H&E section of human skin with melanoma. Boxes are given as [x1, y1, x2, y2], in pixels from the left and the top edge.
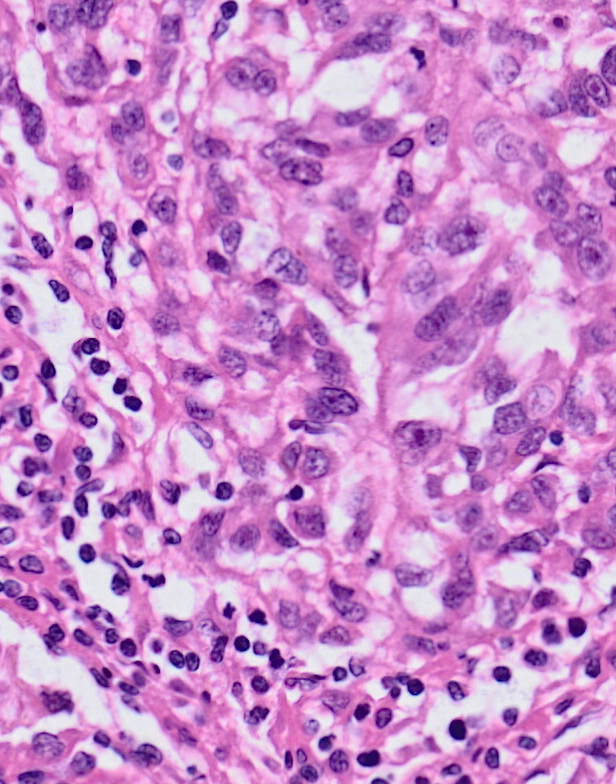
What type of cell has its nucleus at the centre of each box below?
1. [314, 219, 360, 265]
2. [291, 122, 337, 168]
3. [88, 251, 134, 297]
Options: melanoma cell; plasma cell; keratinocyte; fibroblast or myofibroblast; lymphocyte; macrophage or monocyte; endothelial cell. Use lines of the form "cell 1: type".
cell 1: melanoma cell
cell 2: melanoma cell
cell 3: fibroblast or myofibroblast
